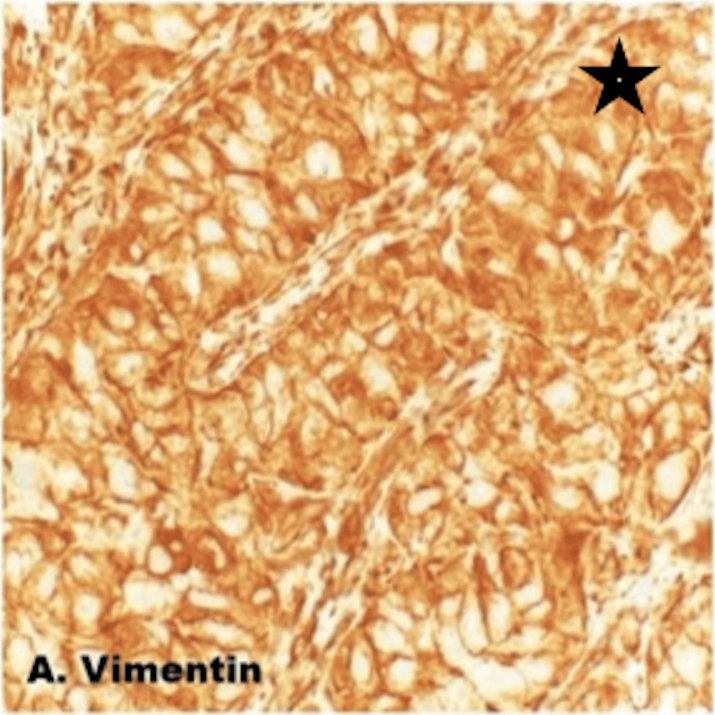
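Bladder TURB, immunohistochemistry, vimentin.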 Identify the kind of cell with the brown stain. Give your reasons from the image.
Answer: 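Large polygonal cells are outlined by strong brown staining. The cells have pale to clear centres. The cells lie in nests between thin strands of stroma. On this evidence: tumor cells.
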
